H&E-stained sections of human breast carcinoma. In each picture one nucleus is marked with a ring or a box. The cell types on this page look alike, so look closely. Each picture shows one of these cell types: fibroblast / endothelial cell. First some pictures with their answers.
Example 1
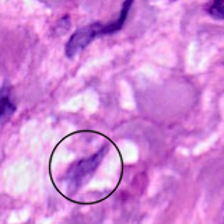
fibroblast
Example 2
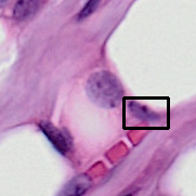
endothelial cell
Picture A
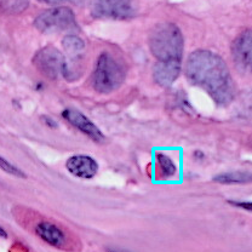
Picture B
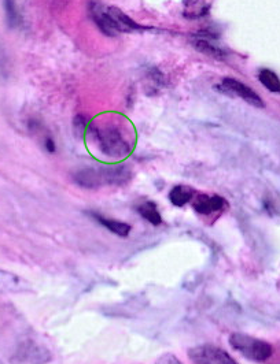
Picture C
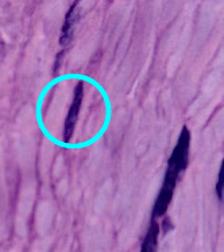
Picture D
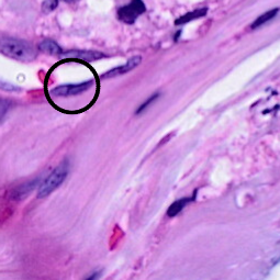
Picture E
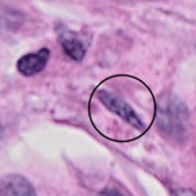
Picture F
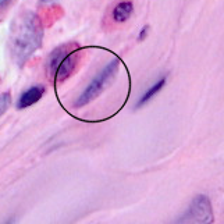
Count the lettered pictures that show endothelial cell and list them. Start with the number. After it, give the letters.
3, namely A, B, D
